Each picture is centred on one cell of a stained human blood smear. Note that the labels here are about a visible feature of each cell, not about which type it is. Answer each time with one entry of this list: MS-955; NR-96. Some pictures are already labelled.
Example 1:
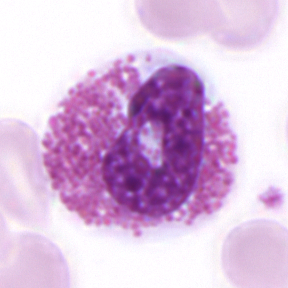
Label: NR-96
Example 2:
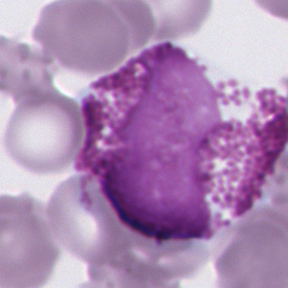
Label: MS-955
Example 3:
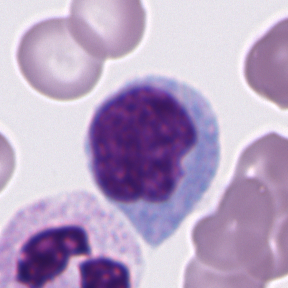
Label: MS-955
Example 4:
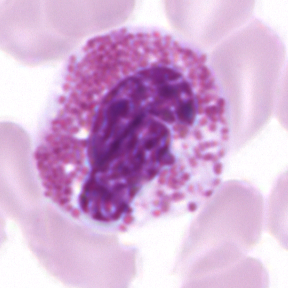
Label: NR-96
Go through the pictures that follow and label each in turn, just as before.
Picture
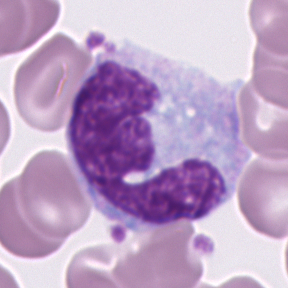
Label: NR-96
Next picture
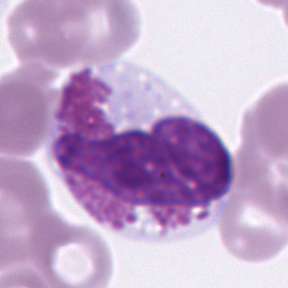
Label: NR-96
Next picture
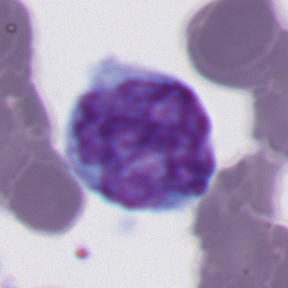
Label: MS-955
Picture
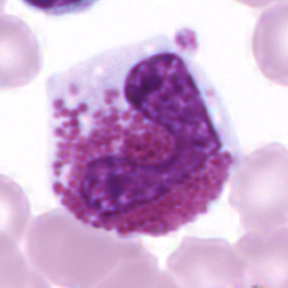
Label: NR-96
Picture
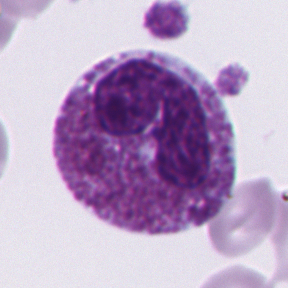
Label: NR-96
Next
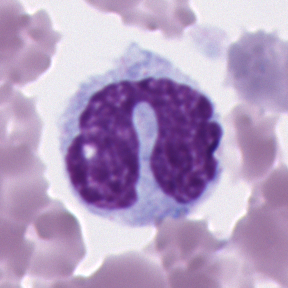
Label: NR-96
